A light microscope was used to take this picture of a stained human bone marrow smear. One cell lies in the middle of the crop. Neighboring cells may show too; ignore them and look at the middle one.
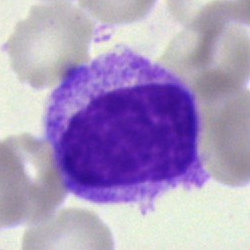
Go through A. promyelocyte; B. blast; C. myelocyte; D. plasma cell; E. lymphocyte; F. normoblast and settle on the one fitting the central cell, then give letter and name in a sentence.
The correct option here is C; the middle cell is a myelocyte.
